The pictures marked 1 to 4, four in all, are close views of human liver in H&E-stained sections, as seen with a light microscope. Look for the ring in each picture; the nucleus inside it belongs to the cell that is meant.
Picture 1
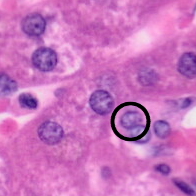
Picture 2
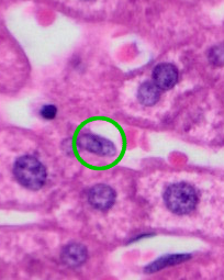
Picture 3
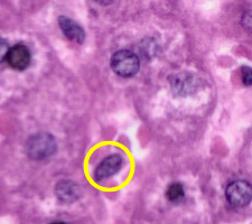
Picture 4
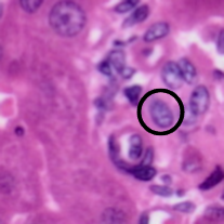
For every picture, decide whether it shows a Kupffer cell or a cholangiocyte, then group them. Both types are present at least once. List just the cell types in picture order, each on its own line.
cholangiocyte
Kupffer cell
Kupffer cell
cholangiocyte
